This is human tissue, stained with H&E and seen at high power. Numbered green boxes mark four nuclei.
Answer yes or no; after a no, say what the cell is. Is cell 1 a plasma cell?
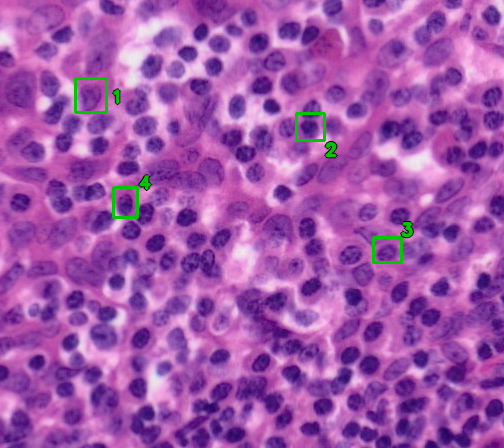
No, it is a squamous epithelial cell.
